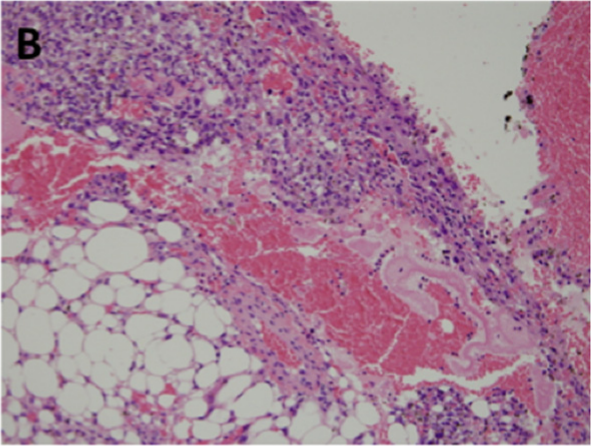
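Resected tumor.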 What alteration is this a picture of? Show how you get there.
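Large sheets of densely packed pink-red red blood cells. Blood fills a space at the upper right and runs through the middle. On this evidence: hemorrhagic.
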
